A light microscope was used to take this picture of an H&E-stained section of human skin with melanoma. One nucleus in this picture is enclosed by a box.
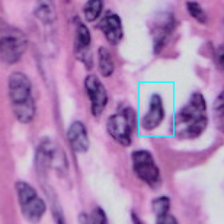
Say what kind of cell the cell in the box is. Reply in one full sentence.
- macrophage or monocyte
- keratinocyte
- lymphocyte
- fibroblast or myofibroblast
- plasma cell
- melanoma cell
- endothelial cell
So far as cell type goes, the cell in the box is a lymphocyte.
